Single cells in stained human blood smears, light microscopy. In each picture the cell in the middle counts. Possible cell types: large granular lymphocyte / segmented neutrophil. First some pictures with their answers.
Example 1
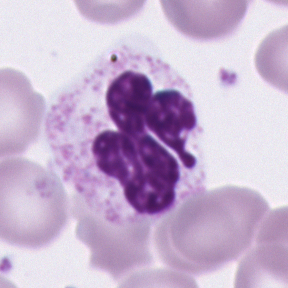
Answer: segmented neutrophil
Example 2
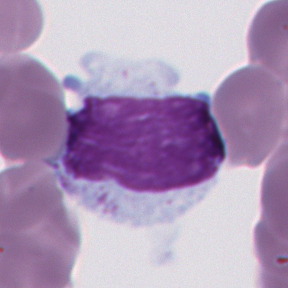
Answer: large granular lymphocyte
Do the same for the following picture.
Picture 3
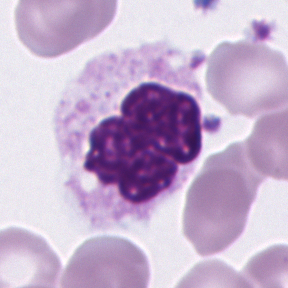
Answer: segmented neutrophil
